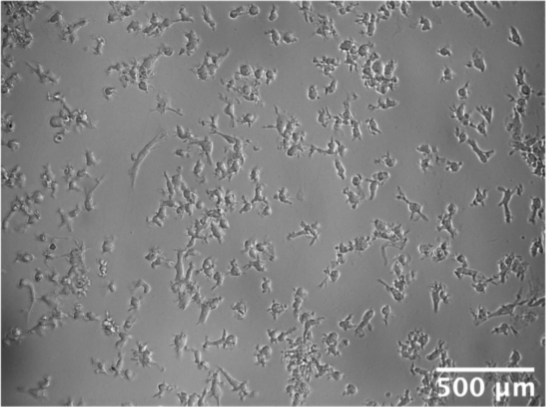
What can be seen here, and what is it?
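Many cells have irregular bodies with several short, branched processes, giving a ramified or star-like outline. Others are rounded and bright-edged, and in places these sit together in small clusters. A few cells are elongated and spindle-shaped with long, thin extensions. The cells do not form a continuous layer.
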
